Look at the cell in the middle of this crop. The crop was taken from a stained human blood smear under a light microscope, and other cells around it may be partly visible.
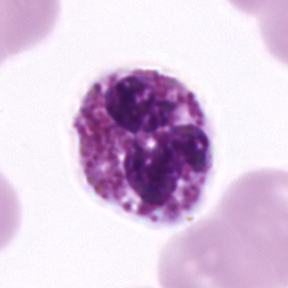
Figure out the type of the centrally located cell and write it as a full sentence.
Regarding the central cell, it is an eosinophil.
